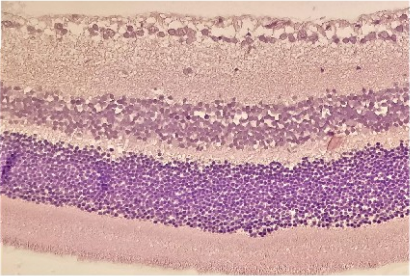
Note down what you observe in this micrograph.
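Retinal section showing layered tissue with nuclei stained purple and fibrous layers pink. At the top a single row of nuclei forms the ganglion cell layer, lying over a wide pale pink inner plexiform layer. The pink outermost layer lies at the bottom of the section.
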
